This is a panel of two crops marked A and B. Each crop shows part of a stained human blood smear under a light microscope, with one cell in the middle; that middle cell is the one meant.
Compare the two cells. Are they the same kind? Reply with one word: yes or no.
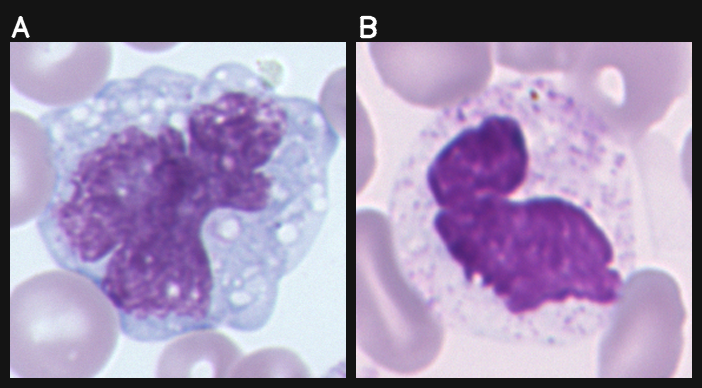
no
